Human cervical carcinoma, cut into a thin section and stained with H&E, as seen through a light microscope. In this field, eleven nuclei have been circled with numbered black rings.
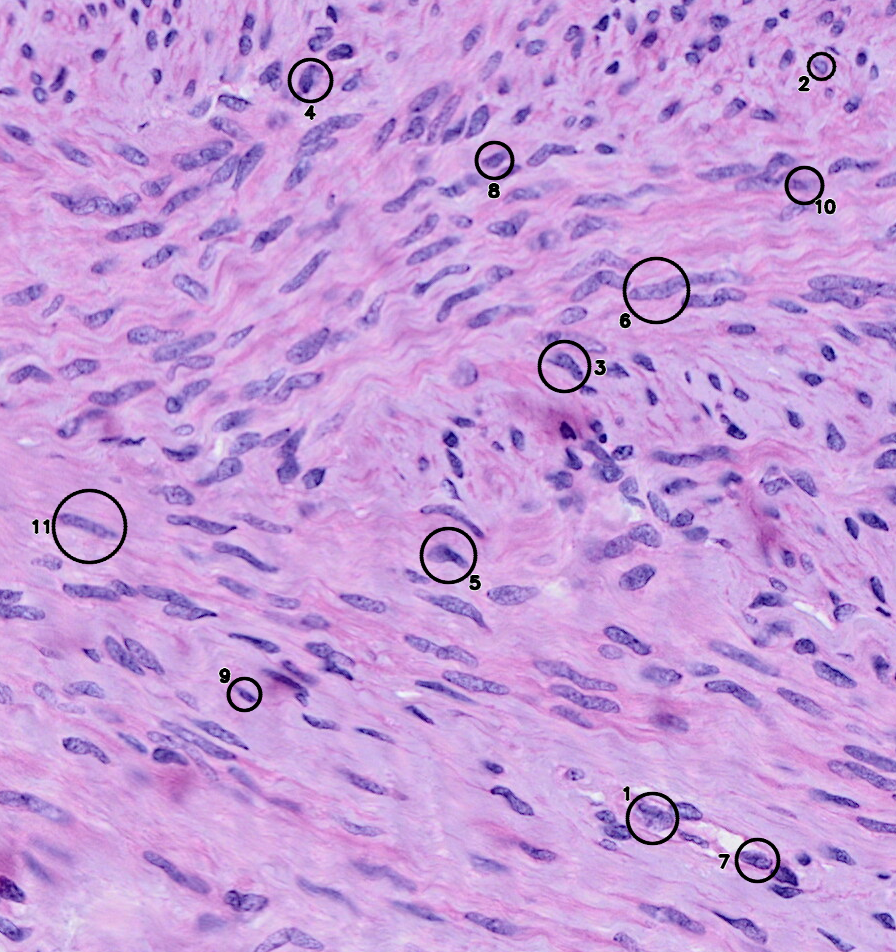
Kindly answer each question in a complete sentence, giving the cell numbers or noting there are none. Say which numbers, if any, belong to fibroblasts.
The cells assigned the numbers 4, 5, 9 and 11 are fibroblasts.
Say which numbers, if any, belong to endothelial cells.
Each of the cells numbered 1 and 7 is among the endothelial cells.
